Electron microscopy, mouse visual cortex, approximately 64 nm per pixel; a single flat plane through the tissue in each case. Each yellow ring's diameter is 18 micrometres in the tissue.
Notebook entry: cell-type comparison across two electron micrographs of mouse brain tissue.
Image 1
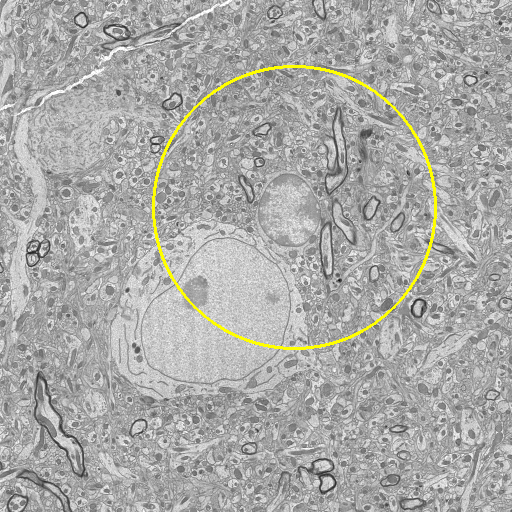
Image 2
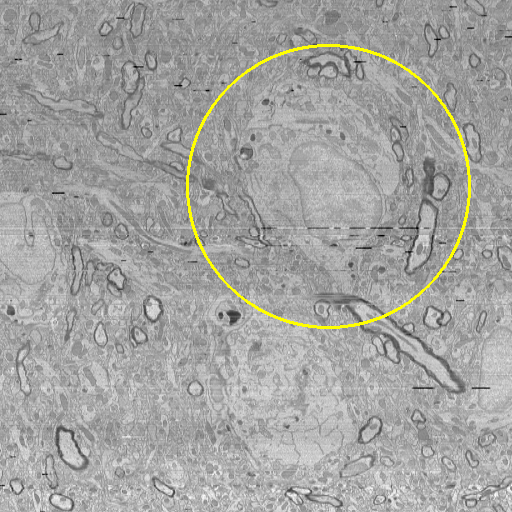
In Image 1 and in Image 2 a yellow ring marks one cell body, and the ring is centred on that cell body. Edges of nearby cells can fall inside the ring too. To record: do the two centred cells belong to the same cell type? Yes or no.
yes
